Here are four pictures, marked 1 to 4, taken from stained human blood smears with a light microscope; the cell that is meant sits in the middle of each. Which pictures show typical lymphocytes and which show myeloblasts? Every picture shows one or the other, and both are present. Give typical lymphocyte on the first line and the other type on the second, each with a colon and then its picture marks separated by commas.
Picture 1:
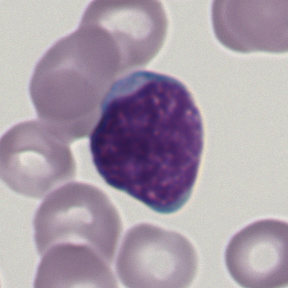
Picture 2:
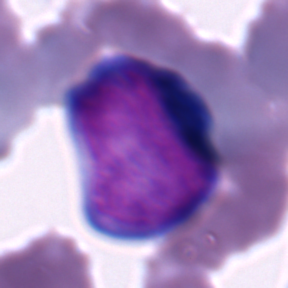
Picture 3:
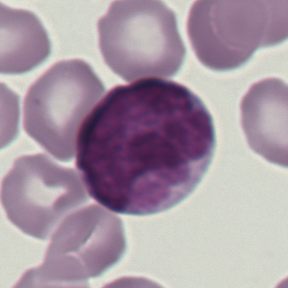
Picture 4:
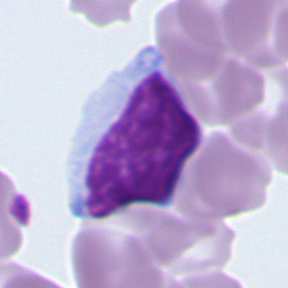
typical lymphocyte: 4
myeloblast: 1, 2, 3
